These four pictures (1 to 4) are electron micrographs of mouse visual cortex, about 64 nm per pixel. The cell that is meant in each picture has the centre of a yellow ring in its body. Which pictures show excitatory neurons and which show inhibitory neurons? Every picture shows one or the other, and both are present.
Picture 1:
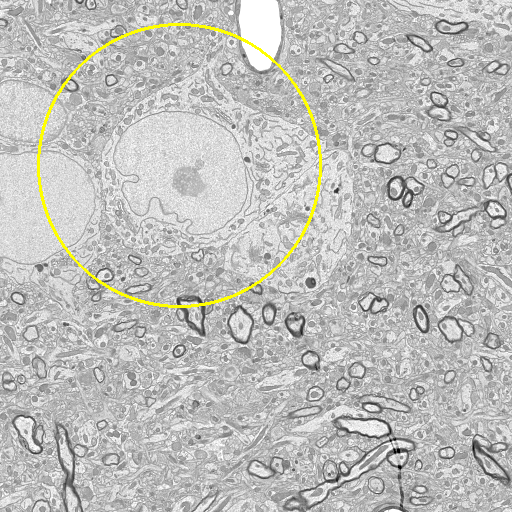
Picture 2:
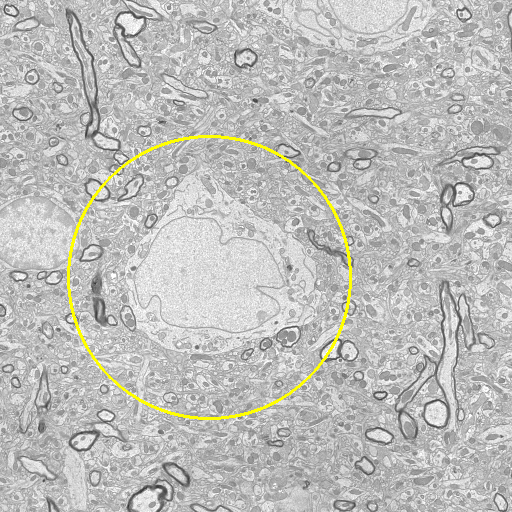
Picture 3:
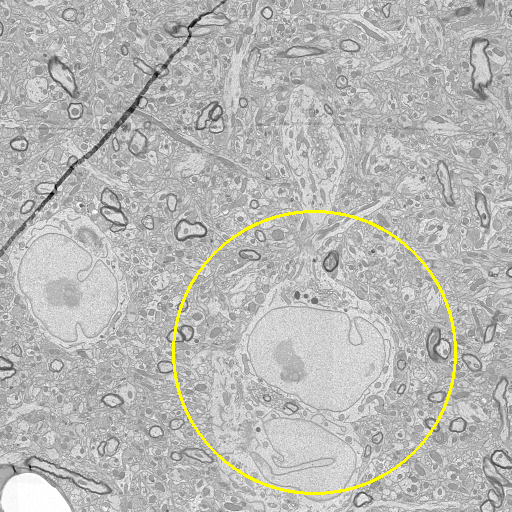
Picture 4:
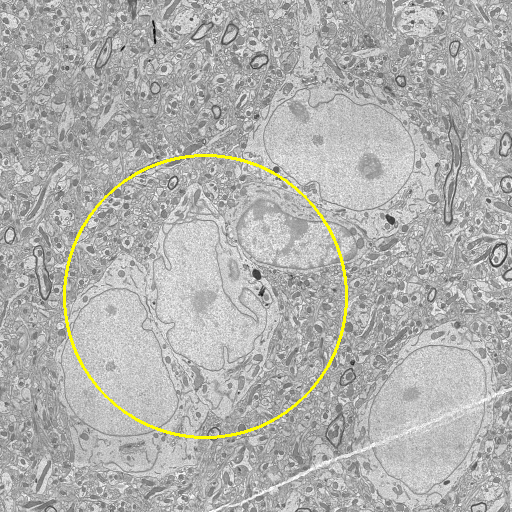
Pictures 2 and 3 show excitatory neurons, while pictures 1 and 4 show inhibitory neurons.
